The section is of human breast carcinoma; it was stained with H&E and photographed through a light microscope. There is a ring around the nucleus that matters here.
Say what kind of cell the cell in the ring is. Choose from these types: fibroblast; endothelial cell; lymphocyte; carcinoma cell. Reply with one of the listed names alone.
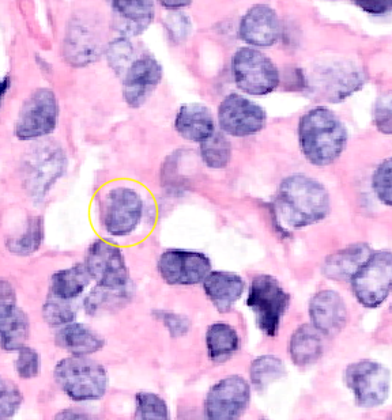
carcinoma cell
